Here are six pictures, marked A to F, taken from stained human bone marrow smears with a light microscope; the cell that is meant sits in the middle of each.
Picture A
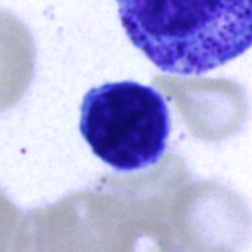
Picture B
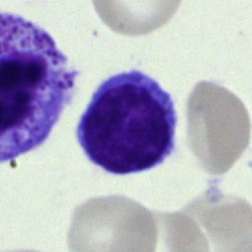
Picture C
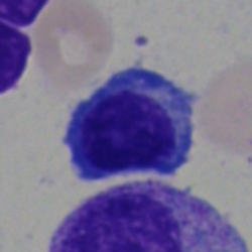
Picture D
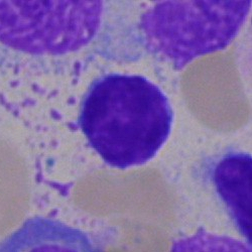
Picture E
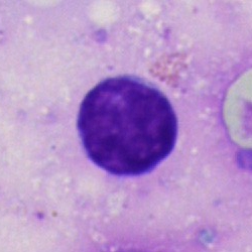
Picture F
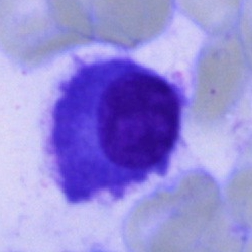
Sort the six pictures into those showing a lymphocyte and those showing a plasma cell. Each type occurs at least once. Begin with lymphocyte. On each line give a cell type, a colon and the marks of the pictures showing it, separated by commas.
lymphocyte: A, B, D, E
plasma cell: C, F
